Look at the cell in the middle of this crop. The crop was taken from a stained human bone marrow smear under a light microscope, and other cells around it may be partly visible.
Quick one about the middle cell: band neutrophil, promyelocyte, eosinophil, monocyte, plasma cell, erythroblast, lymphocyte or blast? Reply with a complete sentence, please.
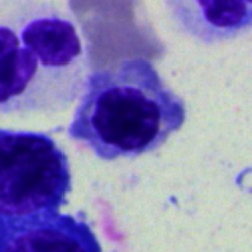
The central cell shown in this smear crop is an erythroblast.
